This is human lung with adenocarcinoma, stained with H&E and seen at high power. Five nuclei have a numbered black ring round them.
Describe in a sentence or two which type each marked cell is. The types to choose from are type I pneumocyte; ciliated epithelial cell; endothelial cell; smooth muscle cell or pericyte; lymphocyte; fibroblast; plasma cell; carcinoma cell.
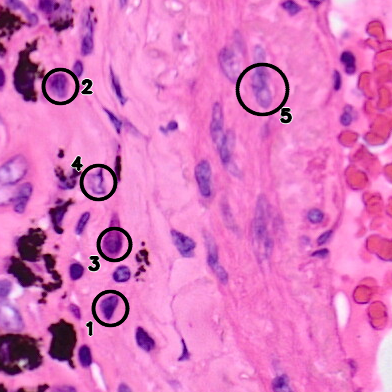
Cell 1 is a lymphocyte, cell 2 is a plasma cell, cell 3 is a plasma cell, cell 4 is a fibroblast and cell 5 is a smooth muscle cell or pericyte.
